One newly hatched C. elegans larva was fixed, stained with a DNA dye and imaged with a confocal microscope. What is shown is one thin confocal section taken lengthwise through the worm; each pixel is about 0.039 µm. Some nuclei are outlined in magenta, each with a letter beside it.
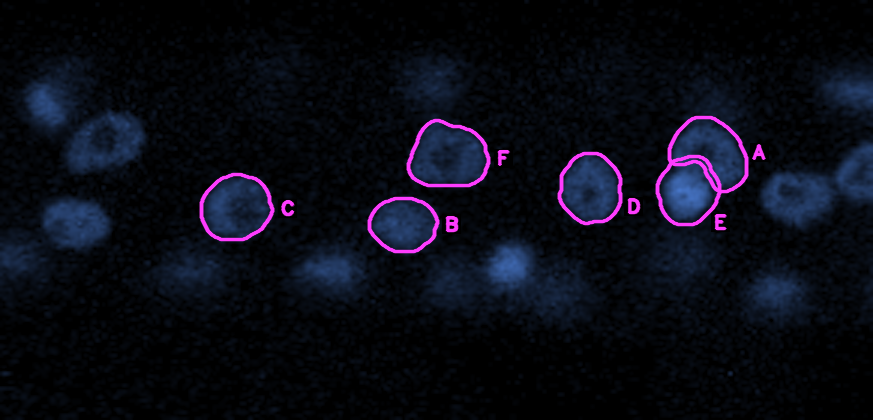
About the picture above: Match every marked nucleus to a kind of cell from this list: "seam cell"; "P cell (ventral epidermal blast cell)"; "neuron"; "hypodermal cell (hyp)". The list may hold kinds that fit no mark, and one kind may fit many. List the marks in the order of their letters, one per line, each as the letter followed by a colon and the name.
A: hypodermal cell (hyp)
B: P cell (ventral epidermal blast cell)
C: seam cell
D: seam cell
E: neuron
F: hypodermal cell (hyp)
